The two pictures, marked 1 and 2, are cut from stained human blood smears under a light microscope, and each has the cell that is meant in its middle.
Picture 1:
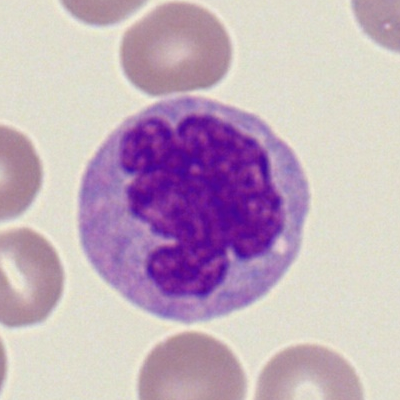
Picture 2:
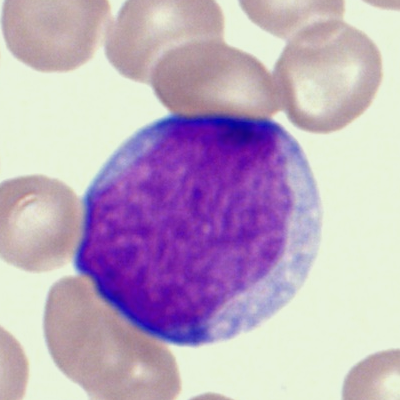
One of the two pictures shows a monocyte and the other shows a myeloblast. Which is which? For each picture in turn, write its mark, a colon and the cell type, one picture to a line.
1: monocyte
2: myeloblast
